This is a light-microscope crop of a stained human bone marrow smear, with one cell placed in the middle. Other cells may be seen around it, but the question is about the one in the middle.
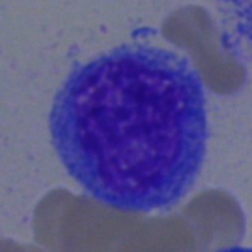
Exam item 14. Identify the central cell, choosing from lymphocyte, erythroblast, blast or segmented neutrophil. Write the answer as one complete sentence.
The crop centres on a single cell, and that cell is a blast.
